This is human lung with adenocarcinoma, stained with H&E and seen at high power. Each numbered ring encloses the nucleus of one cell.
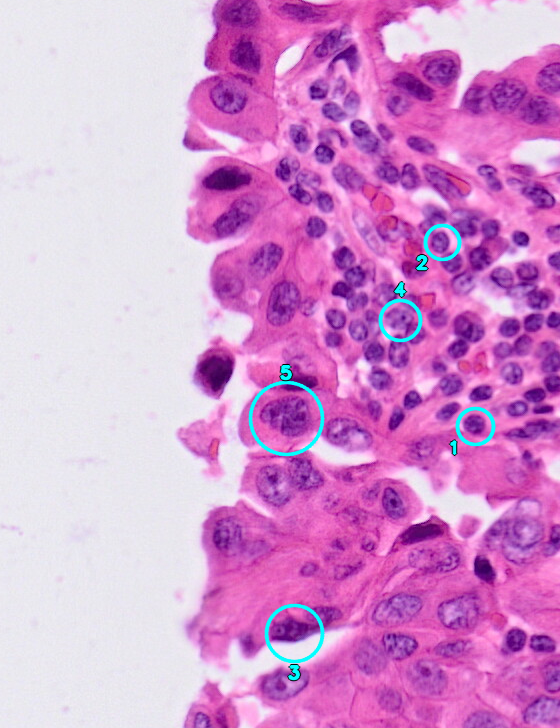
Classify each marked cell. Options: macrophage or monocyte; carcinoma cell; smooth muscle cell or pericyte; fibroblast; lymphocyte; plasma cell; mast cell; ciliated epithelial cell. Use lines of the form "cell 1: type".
cell 1: lymphocyte
cell 2: lymphocyte
cell 3: carcinoma cell
cell 4: lymphocyte
cell 5: carcinoma cell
